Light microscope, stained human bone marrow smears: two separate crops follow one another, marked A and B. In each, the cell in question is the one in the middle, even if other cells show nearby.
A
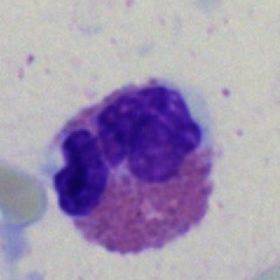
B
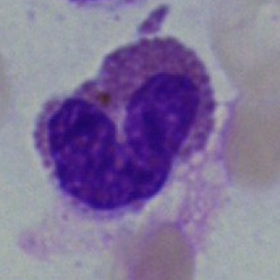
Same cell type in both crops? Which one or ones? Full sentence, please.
Yes, both crops show eosinophils at their middles.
